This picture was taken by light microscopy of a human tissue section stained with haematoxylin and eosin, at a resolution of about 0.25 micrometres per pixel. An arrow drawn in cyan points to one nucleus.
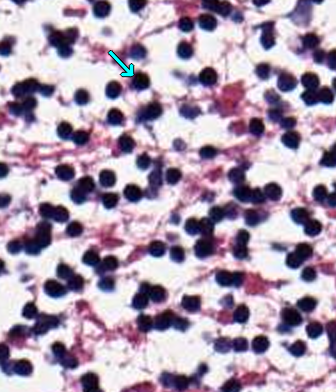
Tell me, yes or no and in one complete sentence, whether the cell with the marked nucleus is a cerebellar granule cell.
Yes, the marked nucleus is the nucleus of a cerebellar granule cell in this section.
